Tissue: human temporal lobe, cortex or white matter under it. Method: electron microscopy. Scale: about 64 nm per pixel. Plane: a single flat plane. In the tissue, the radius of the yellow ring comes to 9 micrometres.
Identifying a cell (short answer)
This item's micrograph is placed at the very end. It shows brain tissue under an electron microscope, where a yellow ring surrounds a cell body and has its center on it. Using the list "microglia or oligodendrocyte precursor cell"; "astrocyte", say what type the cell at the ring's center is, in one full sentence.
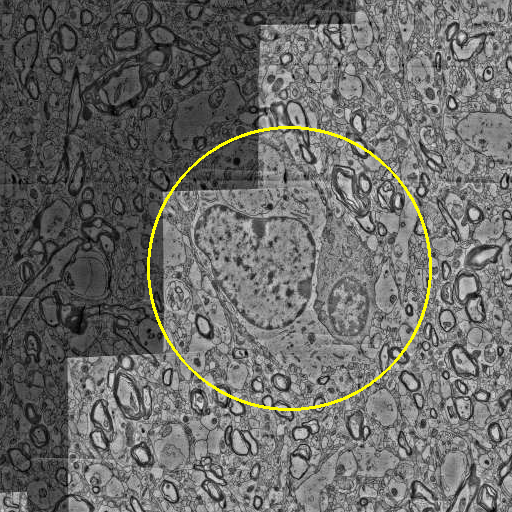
This picture shows a microglial cell or oligodendrocyte precursor cell at the center of the yellow ring drawn on it.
